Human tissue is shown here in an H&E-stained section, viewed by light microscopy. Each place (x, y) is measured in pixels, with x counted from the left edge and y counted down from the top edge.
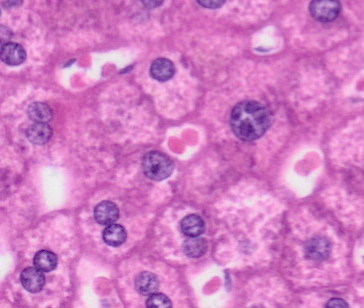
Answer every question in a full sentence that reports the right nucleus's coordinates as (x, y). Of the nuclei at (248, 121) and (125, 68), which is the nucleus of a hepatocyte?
Housed in a hepatocyte is the nucleus at (248, 121), not the other one.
